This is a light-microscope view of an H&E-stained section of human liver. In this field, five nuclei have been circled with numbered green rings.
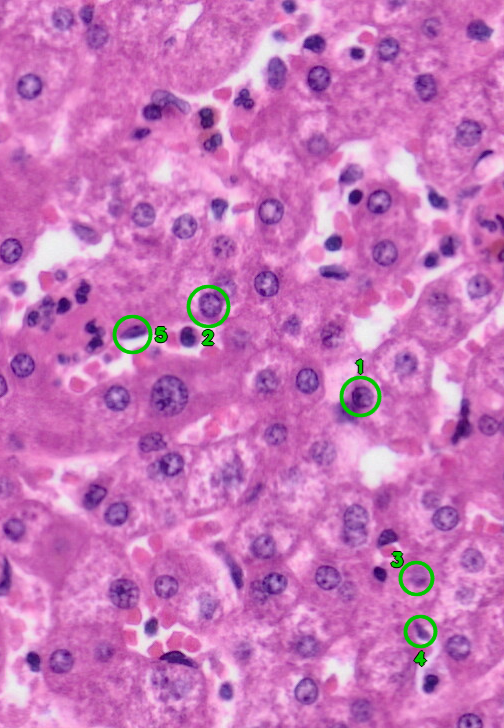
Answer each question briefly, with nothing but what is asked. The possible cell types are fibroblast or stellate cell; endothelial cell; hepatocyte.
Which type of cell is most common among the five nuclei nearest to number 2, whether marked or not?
hepatocyte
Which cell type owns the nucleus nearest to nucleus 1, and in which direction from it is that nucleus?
an endothelial cell, below and to the left of nucleus 1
